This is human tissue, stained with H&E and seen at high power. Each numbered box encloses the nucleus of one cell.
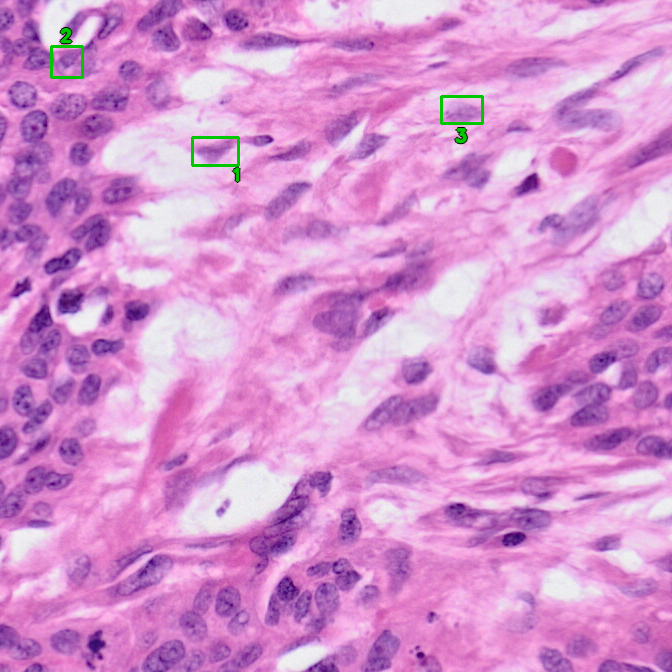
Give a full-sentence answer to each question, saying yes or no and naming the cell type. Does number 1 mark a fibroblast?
Yes, exactly, the cell numbered 1 is a fibroblast.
